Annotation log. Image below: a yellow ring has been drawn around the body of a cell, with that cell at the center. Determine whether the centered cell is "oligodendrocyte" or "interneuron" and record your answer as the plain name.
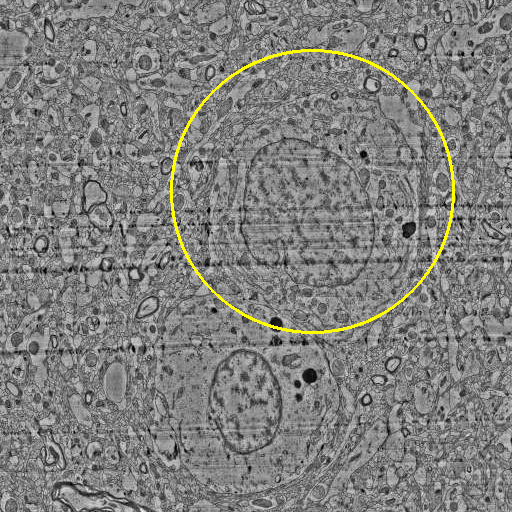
interneuron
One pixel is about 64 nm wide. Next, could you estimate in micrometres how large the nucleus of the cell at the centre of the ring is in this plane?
Roughly 10 micrometres by 9 micrometres, in this plane.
